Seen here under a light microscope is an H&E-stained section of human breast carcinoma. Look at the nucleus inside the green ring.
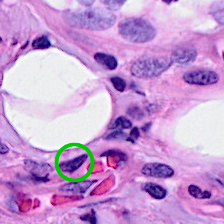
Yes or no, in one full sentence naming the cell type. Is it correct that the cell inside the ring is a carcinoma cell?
No, the cell inside the ring represents an endothelial cell and does not represent a carcinoma cell.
